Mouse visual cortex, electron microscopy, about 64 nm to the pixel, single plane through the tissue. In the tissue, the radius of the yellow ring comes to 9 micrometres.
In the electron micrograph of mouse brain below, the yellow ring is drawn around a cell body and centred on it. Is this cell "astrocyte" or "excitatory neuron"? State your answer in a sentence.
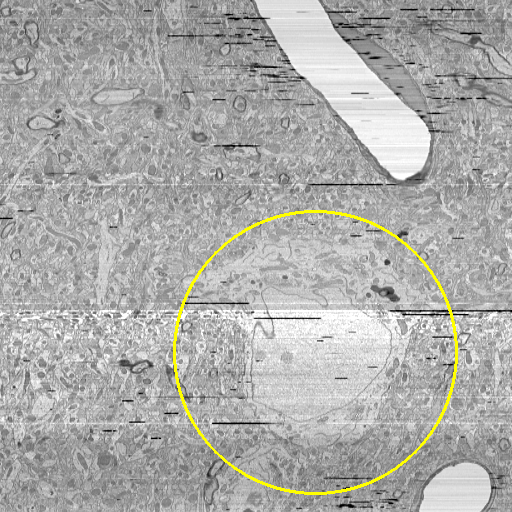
The cell in the middle of the ring is an excitatory neuron.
